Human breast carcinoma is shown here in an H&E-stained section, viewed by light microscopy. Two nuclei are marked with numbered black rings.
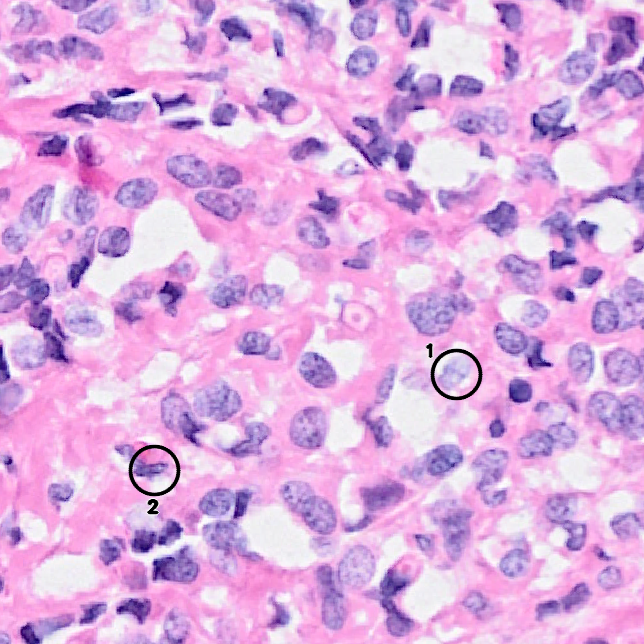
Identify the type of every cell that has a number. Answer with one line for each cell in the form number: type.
1: carcinoma cell
2: endothelial cell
